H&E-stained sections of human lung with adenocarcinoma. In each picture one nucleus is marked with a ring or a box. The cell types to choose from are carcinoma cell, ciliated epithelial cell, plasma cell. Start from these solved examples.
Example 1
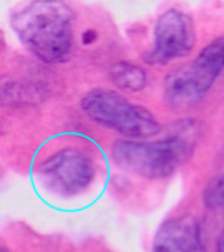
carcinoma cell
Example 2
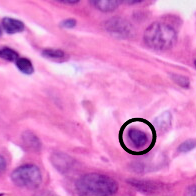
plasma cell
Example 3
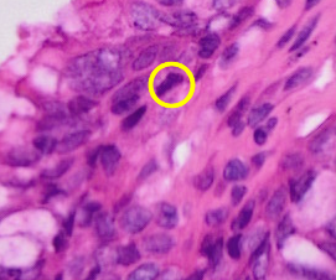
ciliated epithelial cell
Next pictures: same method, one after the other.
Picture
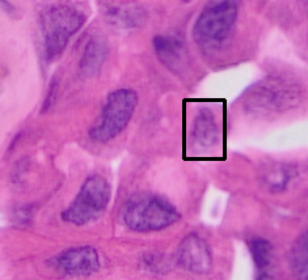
carcinoma cell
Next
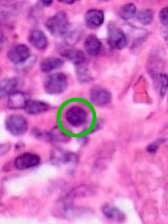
plasma cell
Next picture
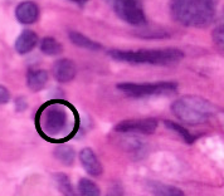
plasma cell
